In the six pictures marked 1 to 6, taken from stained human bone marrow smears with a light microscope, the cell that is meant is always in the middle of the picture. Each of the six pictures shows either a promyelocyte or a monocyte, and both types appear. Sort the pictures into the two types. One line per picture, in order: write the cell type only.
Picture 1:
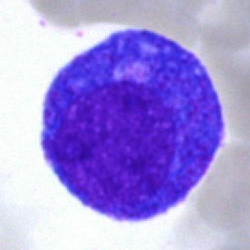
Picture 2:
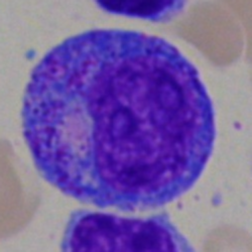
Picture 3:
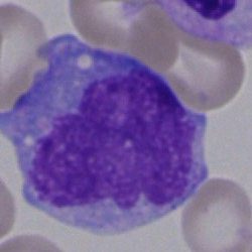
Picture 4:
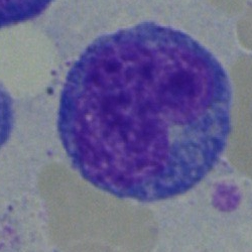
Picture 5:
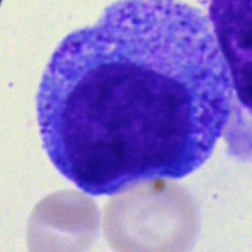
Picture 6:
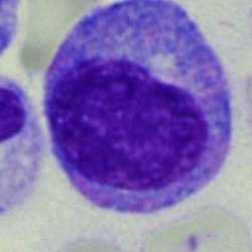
promyelocyte
promyelocyte
monocyte
monocyte
promyelocyte
promyelocyte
